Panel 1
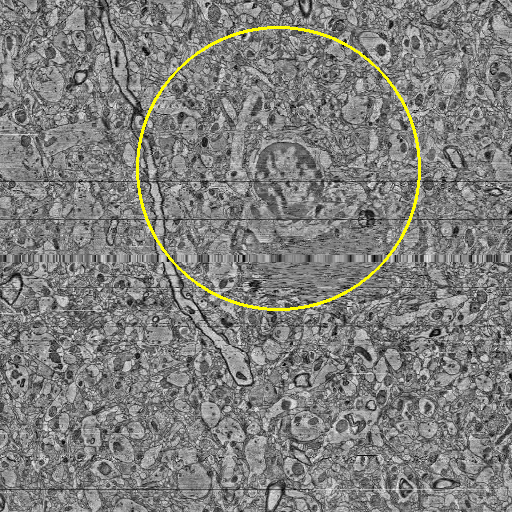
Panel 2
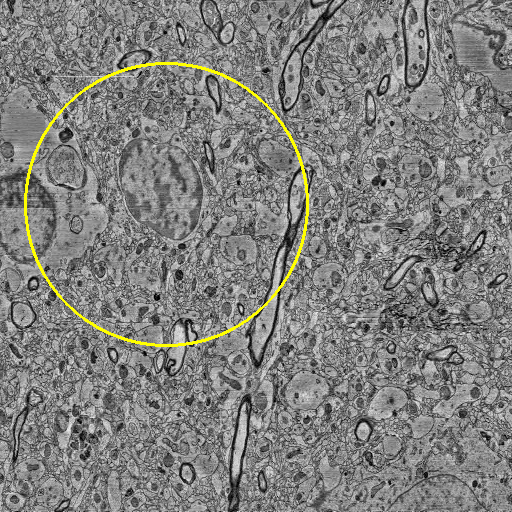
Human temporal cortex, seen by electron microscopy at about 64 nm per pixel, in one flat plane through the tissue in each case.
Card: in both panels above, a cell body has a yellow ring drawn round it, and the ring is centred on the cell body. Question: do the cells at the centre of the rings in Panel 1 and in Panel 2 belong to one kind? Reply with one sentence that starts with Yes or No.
Yes, the cells centred in the rings of Panel 1 and Panel 2 are one kind of cell.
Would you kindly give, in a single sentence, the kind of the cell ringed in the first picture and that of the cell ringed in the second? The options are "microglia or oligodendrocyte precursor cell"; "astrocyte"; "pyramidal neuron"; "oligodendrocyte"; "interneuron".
Both cells are the same kind, each one being a microglial cell or oligodendrocyte precursor cell.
